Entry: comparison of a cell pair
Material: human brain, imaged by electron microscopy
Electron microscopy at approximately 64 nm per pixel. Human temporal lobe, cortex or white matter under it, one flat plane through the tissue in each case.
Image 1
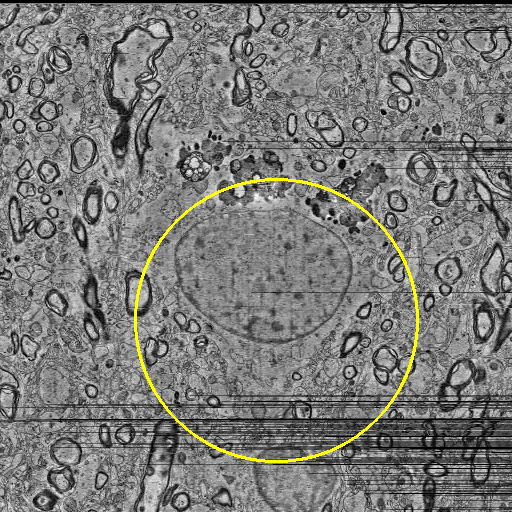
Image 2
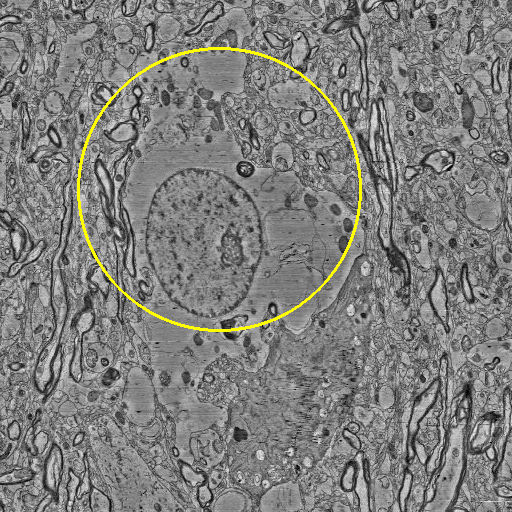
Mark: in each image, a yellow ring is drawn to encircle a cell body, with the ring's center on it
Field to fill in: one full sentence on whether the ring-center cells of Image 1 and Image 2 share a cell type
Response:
Yes, Image 1 and Image 2 each show a ring-center cell of one shared type.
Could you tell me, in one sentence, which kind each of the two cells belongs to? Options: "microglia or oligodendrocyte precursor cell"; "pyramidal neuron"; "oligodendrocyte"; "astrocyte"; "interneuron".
Both cells are the same kind, each one being an astrocyte.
